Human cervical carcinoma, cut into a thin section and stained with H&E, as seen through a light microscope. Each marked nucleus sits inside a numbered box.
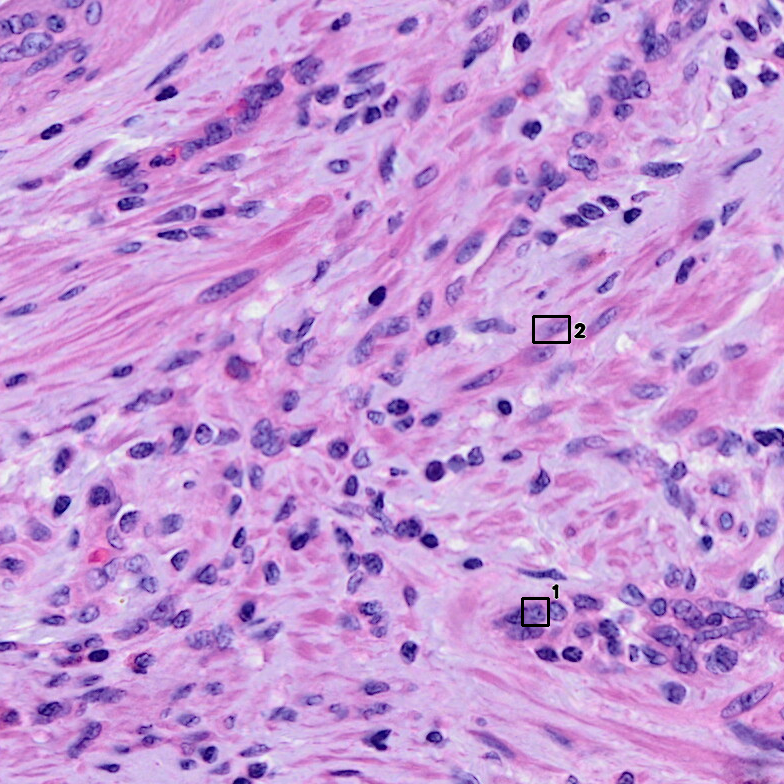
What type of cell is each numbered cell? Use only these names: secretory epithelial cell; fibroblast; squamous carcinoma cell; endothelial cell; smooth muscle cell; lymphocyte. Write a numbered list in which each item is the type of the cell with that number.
1. endothelial cell
2. smooth muscle cell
